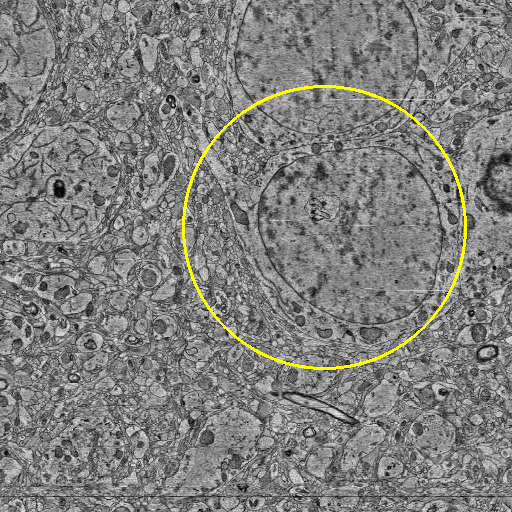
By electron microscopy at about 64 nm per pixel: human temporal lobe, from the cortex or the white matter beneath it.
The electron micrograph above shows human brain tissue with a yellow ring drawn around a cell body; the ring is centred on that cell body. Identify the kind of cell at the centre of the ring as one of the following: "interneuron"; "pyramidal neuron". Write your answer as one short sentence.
The cell at the centre of the ring is a pyramidal neuron.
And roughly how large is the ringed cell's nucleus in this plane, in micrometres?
The nucleus comes to roughly 12 micrometres across in this plane.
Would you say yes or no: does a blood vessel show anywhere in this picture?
No, no vessel shows anywhere in the image.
